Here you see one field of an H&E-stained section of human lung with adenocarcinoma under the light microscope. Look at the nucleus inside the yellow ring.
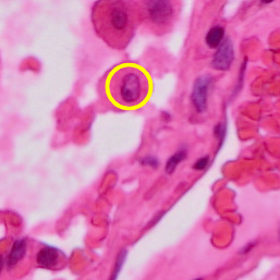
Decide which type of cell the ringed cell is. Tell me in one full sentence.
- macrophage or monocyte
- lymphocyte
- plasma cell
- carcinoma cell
For the purposes of cell typing, the ringed cell is categorized as a macrophage or monocyte.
